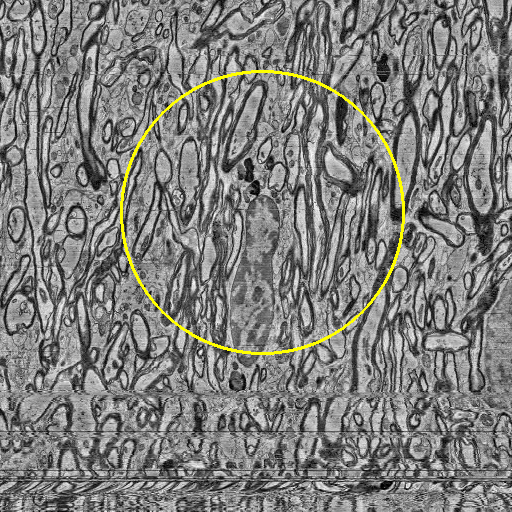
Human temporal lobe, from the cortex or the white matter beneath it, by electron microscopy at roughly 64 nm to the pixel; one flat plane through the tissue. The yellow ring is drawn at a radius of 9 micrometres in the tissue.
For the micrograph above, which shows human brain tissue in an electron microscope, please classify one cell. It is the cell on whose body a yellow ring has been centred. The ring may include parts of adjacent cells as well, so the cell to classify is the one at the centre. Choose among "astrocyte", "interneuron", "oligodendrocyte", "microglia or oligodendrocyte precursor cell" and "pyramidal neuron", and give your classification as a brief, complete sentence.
I classify this cell as a microglial cell or oligodendrocyte precursor cell.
